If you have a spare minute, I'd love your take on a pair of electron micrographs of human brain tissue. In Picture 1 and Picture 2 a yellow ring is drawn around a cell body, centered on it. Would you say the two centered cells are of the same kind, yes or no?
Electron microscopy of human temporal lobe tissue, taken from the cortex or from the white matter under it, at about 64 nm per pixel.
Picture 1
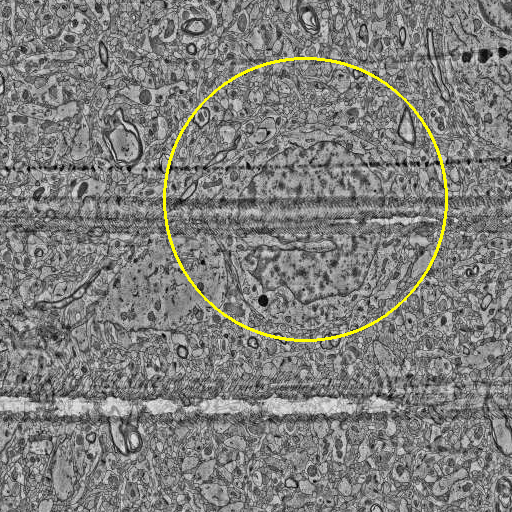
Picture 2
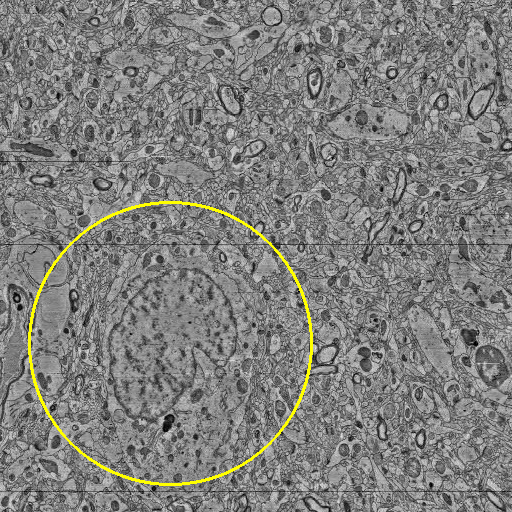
yes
